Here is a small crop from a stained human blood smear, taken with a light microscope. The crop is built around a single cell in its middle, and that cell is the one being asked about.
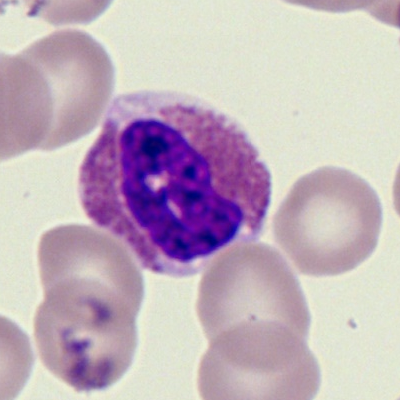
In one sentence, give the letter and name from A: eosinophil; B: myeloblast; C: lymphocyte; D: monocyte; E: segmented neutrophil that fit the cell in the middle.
The central cell is an eosinophil, which makes option A the right answer.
